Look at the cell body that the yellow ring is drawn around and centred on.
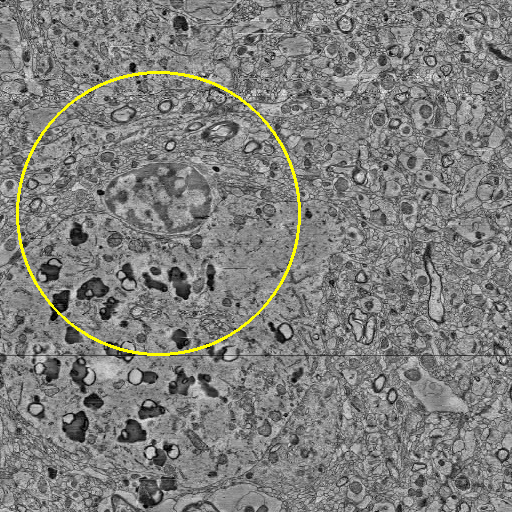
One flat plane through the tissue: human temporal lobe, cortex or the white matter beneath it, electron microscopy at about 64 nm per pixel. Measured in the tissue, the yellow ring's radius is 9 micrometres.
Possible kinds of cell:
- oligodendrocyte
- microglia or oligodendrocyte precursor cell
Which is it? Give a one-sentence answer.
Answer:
The centred cell body is that of a microglial cell or oligodendrocyte precursor cell.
